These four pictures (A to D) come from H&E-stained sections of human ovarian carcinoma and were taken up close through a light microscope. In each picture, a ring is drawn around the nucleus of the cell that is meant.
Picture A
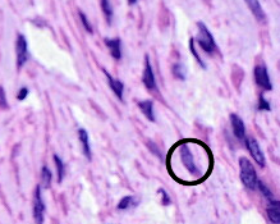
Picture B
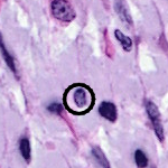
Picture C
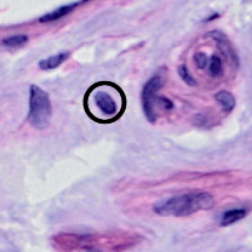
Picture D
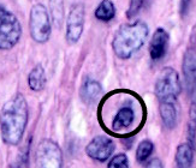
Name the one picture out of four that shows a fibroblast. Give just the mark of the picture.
A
